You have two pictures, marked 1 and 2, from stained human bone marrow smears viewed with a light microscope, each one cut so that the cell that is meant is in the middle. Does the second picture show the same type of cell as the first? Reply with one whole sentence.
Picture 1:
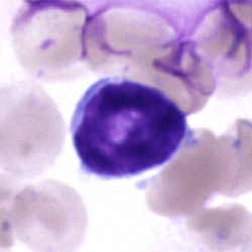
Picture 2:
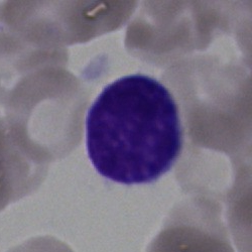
Yes, both are lymphocytes.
